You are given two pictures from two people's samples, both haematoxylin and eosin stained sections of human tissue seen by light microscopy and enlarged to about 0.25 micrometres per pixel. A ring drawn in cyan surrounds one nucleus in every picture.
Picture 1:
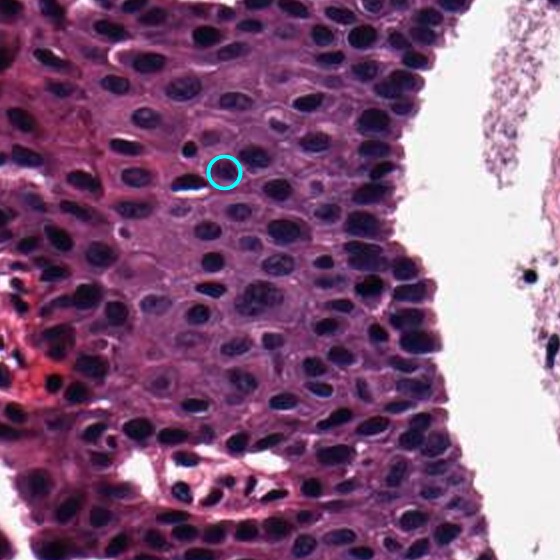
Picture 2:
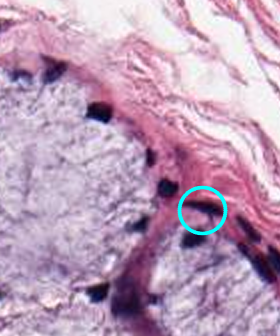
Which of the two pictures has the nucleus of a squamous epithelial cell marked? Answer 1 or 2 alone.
1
